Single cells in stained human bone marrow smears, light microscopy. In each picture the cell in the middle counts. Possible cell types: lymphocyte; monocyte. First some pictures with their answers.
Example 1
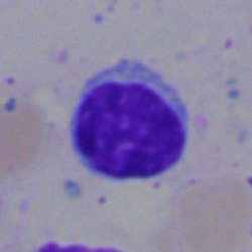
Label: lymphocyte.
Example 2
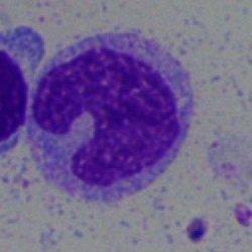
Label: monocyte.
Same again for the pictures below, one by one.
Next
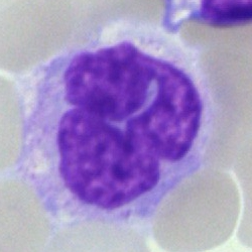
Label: monocyte.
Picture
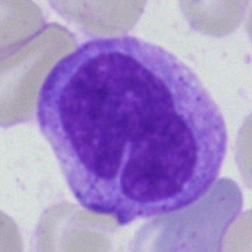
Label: monocyte.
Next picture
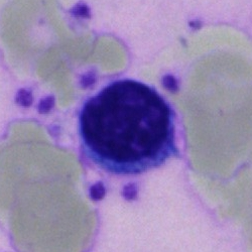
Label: lymphocyte.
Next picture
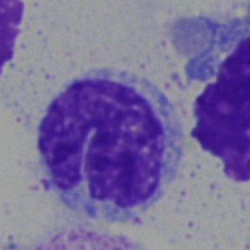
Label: monocyte.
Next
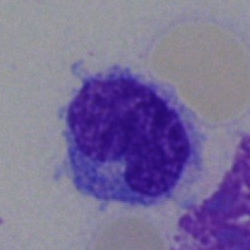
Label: monocyte.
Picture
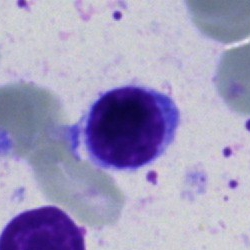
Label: lymphocyte.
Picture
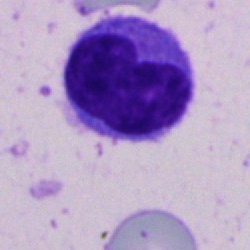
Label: monocyte.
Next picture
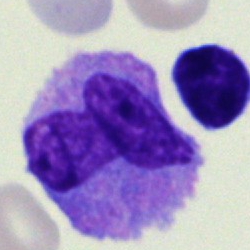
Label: monocyte.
